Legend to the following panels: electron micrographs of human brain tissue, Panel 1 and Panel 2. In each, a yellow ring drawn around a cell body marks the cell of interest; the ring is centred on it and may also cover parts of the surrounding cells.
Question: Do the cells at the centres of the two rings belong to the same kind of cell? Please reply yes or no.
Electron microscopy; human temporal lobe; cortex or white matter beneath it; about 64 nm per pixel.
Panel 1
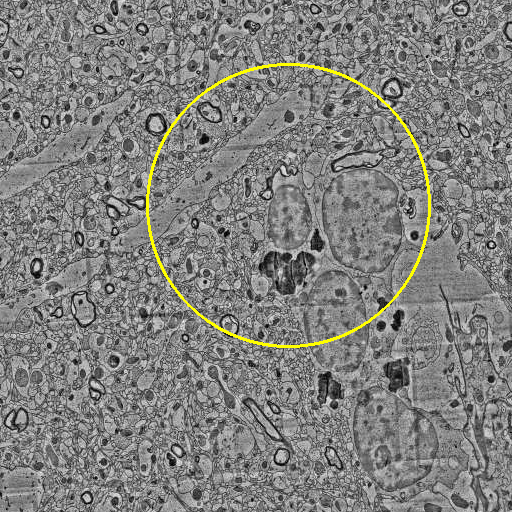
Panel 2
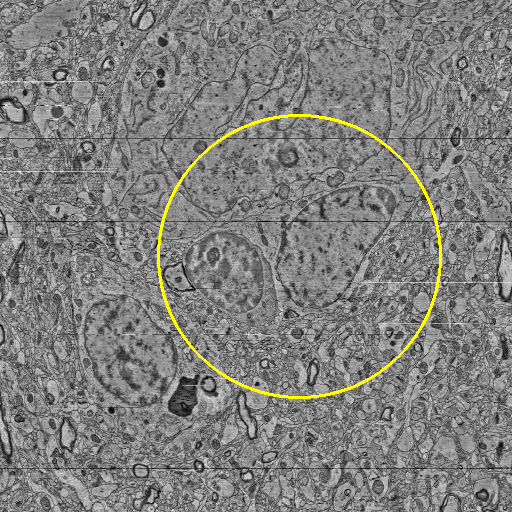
no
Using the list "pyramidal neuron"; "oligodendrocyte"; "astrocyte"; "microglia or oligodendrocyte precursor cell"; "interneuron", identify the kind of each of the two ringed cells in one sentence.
The first is an oligodendrocyte and the second is a microglial cell or oligodendrocyte precursor cell.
